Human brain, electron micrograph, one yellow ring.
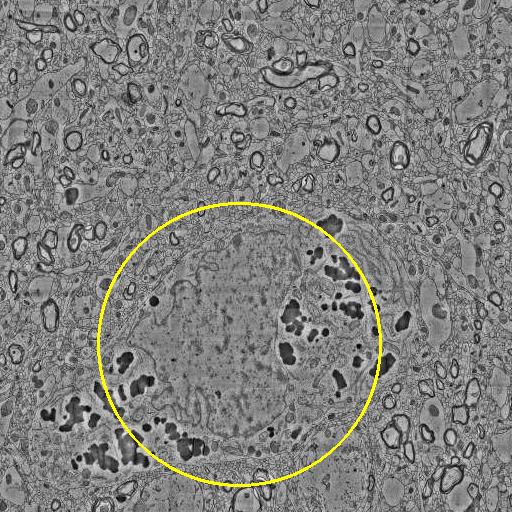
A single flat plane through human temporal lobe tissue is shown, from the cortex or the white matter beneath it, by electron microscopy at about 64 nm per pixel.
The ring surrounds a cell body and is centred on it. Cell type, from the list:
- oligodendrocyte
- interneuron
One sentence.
The yellow ring circles an interneuron.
